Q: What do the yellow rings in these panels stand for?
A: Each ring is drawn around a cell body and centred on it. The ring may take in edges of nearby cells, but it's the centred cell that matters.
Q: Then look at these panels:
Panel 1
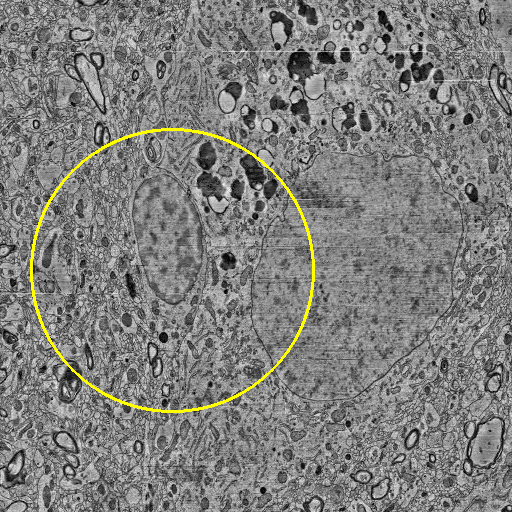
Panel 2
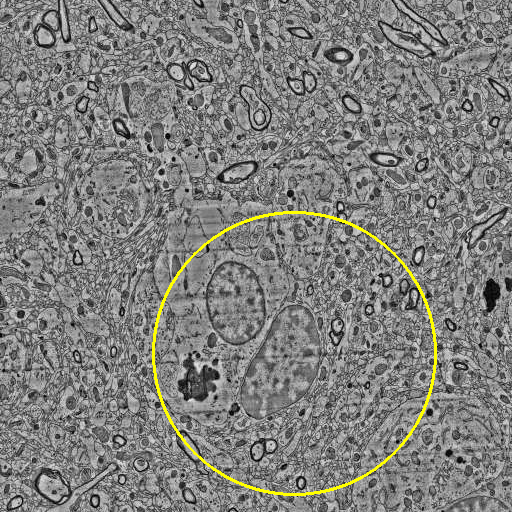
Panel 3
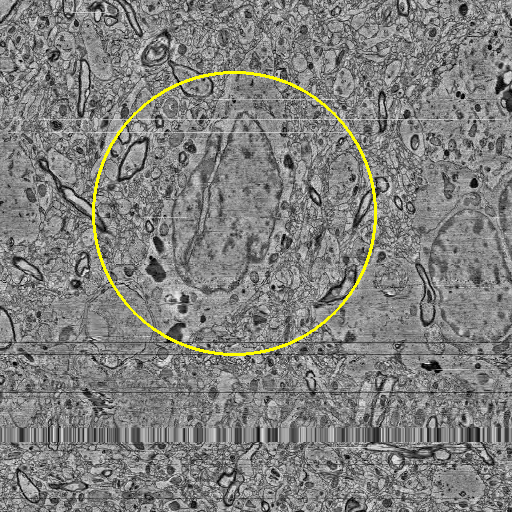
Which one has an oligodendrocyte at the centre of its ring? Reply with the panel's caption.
Panel 1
